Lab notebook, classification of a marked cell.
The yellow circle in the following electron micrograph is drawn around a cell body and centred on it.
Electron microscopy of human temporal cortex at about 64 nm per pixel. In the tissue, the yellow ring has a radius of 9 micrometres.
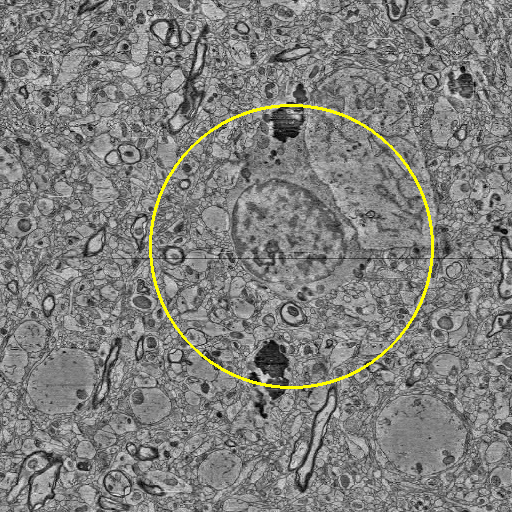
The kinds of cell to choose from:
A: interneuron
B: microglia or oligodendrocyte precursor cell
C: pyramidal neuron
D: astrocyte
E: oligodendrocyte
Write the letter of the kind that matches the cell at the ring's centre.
E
